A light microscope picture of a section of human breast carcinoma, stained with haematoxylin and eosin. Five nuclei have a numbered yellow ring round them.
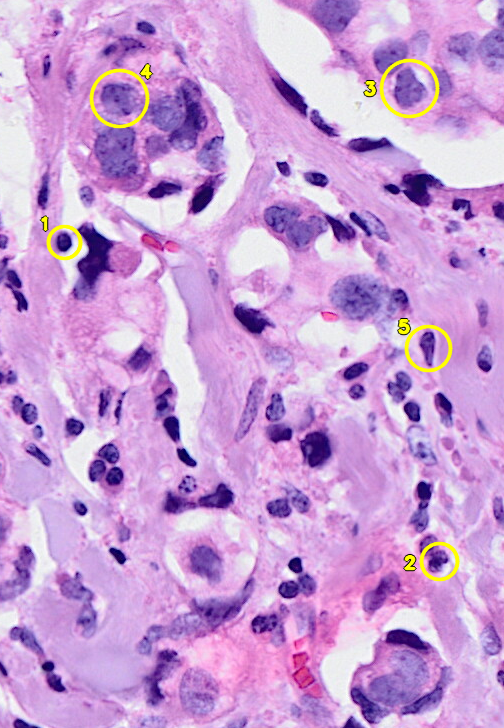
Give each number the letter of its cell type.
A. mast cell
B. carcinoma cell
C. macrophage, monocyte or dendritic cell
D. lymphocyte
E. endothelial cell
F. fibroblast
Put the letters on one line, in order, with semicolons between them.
D; D; B; B; D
